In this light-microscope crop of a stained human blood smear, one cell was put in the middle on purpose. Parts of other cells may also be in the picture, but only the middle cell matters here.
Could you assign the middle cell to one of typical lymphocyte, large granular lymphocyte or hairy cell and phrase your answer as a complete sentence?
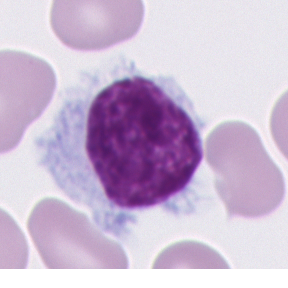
The cell in the middle of the field of view is a hairy cell.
